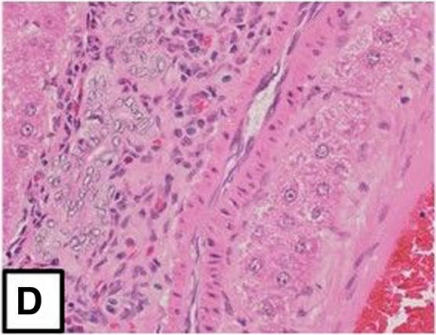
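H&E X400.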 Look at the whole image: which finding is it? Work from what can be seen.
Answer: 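Increased vacuolation. Many liver cells have pale, clear, bubbly cytoplasm instead of uniform pink. Small clear vacuoles fill the cytoplasm around the nuclei.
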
